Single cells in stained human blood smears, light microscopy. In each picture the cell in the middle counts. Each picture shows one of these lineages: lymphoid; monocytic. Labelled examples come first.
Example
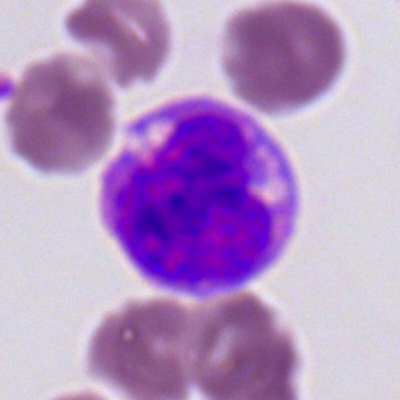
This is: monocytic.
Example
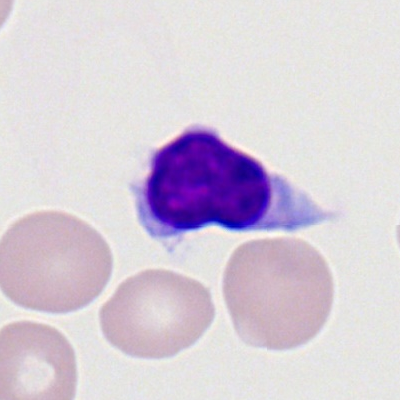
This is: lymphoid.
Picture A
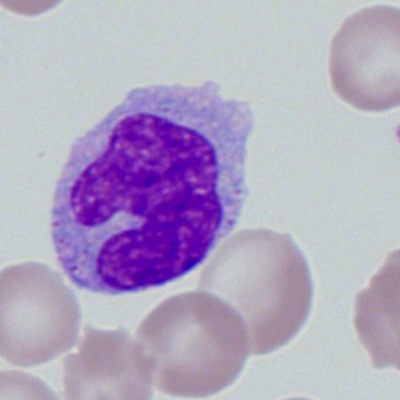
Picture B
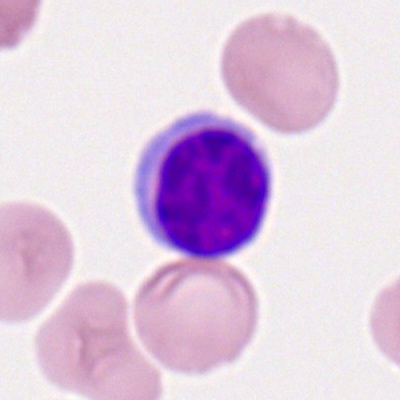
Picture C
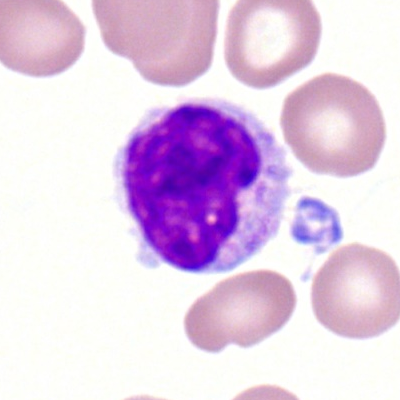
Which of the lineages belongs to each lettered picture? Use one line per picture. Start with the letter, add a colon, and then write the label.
A: monocytic.
B: lymphoid.
C: lymphoid.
